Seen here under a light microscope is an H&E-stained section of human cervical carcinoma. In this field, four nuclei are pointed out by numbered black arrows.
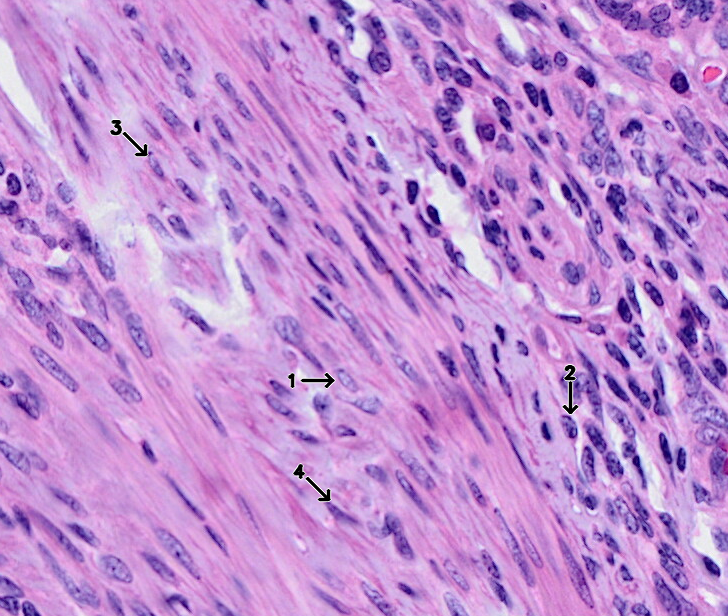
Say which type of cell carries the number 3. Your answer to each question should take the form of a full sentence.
The numbered cell 3 in this field is a smooth muscle cell.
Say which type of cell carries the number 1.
Numbered cell 1 is a smooth muscle cell in this tissue section.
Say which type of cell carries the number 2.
The numbered cell 2 in this field is a lymphocyte.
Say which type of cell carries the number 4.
The marked cell with the number 4 is recognised as a smooth muscle cell.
